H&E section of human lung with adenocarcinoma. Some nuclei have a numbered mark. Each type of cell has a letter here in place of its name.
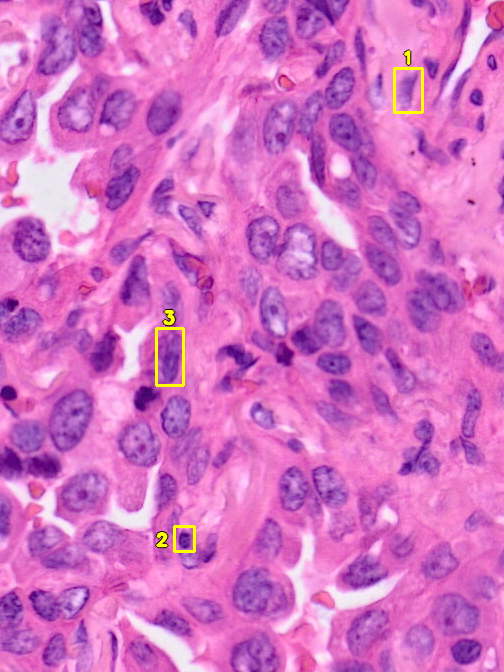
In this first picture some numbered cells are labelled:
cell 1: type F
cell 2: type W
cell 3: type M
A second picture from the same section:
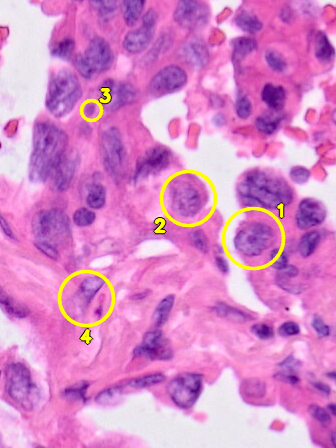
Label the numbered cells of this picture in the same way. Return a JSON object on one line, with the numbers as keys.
{"1": "type M", "2": "type M", "3": "type M", "4": "type F"}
